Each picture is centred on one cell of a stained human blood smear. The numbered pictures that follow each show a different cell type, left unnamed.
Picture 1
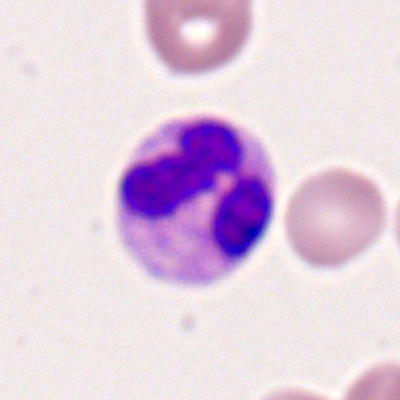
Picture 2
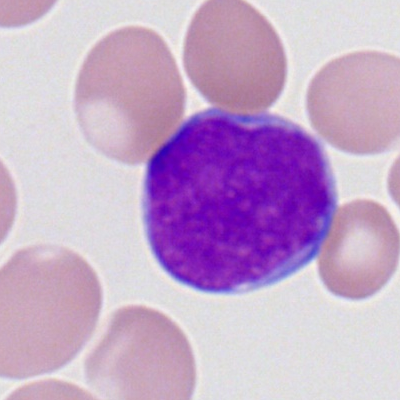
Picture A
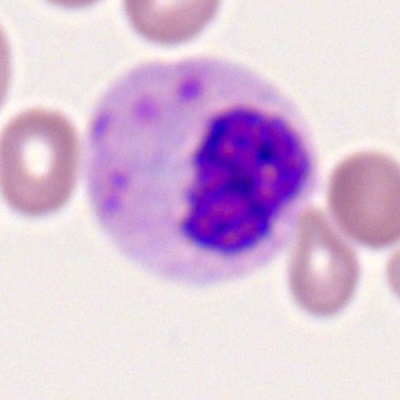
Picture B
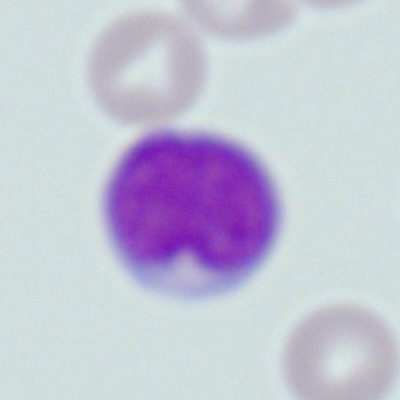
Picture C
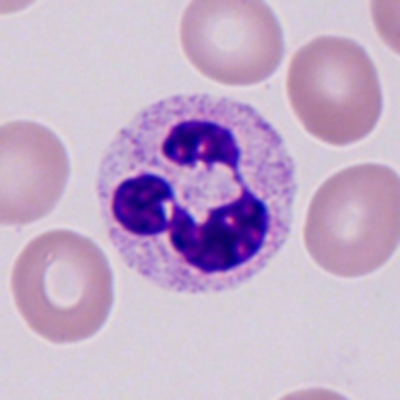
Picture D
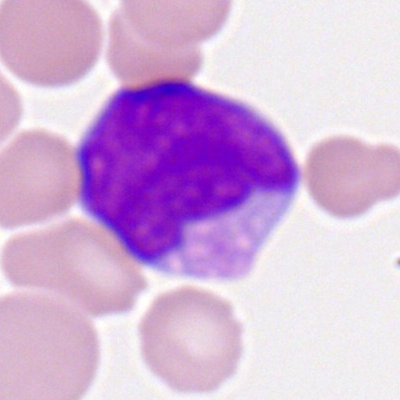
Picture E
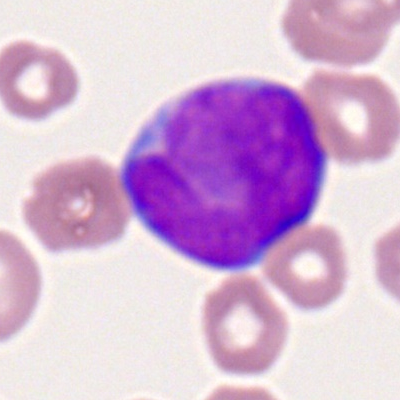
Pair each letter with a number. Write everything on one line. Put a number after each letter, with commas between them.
A 1, B 2, C 1, D 2, E 2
